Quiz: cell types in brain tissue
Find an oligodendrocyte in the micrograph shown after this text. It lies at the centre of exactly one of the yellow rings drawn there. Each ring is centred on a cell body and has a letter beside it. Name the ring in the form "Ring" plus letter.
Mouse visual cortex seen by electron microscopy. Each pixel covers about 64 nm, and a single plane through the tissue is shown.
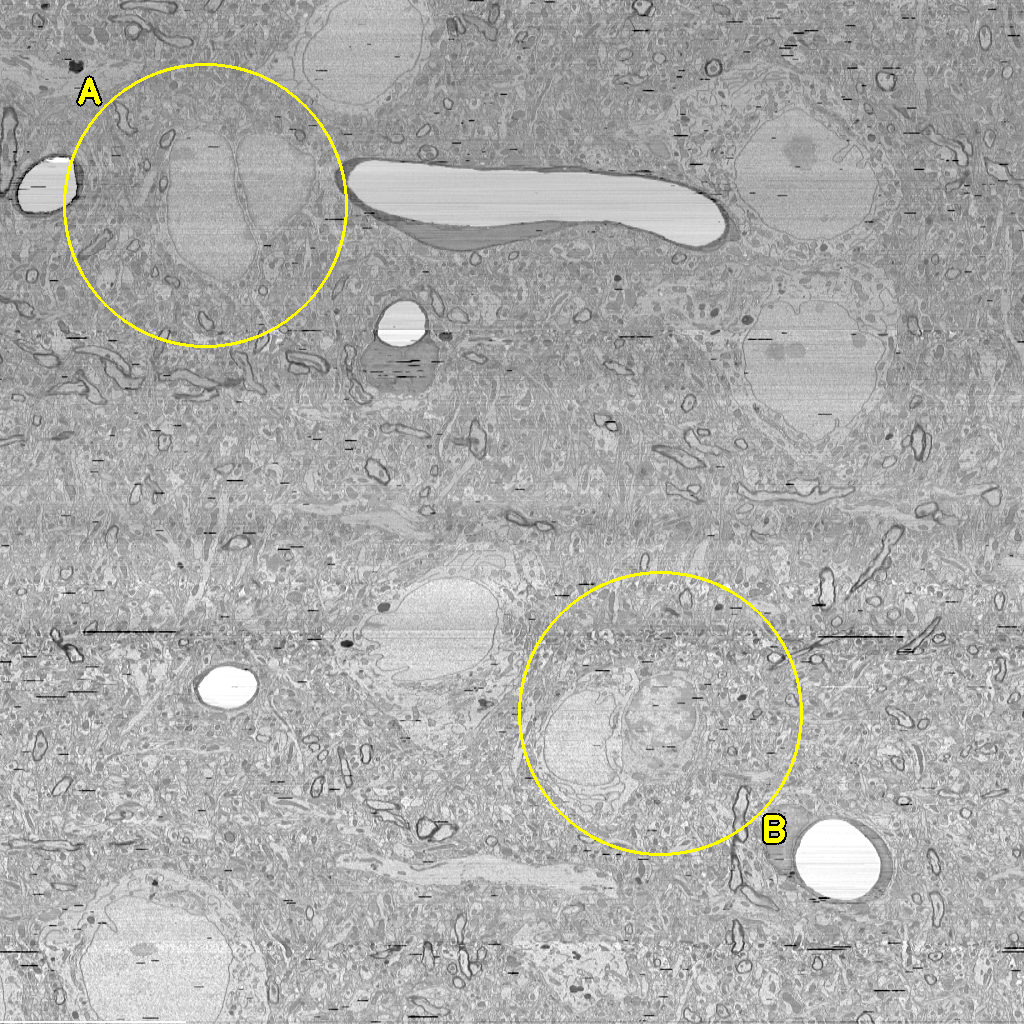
Ring B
